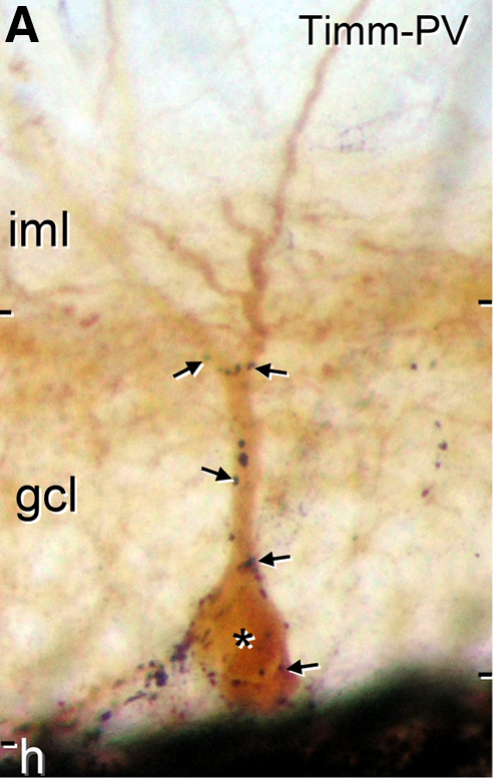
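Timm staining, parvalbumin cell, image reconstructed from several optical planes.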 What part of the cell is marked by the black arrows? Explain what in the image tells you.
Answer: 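Small dark purple-black dots sit along the thick dendrite and the cell body. The dots lie on the surface of the brown-stained cell. The answer: boutons.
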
